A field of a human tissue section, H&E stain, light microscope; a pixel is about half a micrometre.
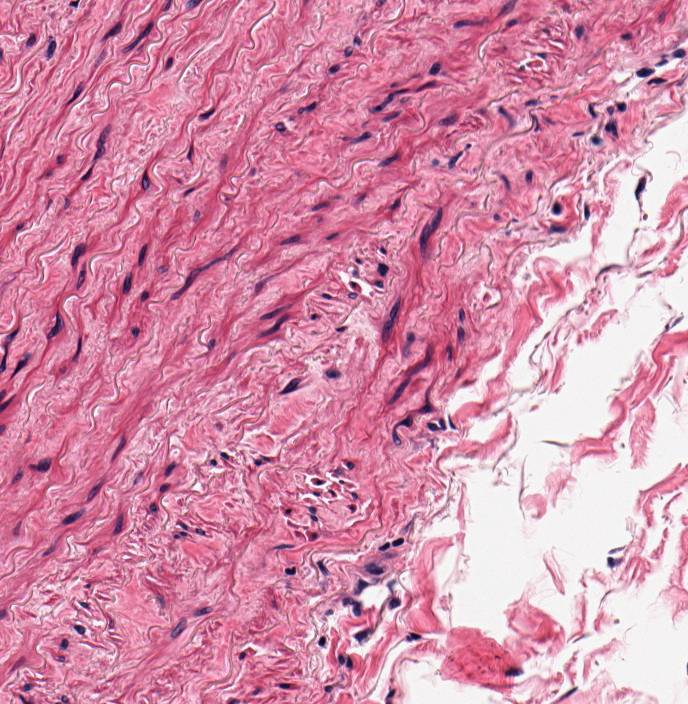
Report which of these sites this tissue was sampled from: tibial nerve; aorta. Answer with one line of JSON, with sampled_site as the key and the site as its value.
{"sampled_site": "aorta"}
